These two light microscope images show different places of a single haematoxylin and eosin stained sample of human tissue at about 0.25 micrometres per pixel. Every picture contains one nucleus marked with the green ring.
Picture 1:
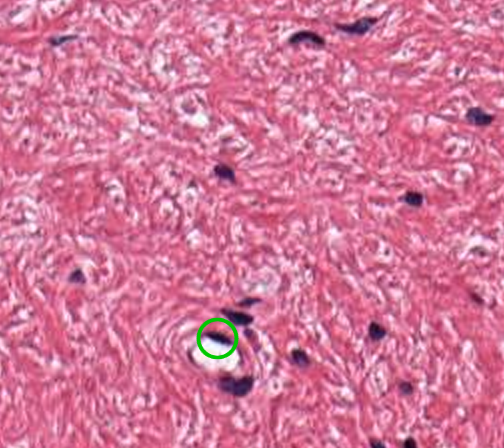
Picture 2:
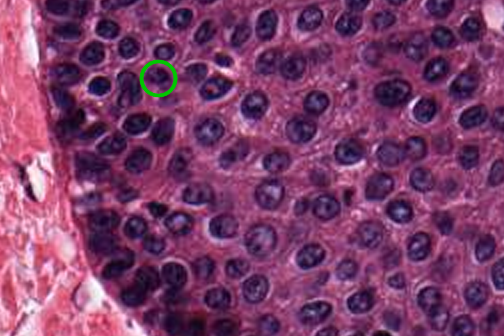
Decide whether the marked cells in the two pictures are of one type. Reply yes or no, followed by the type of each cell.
No, the first is an endothelial cell and the second a squamous epithelial cell.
